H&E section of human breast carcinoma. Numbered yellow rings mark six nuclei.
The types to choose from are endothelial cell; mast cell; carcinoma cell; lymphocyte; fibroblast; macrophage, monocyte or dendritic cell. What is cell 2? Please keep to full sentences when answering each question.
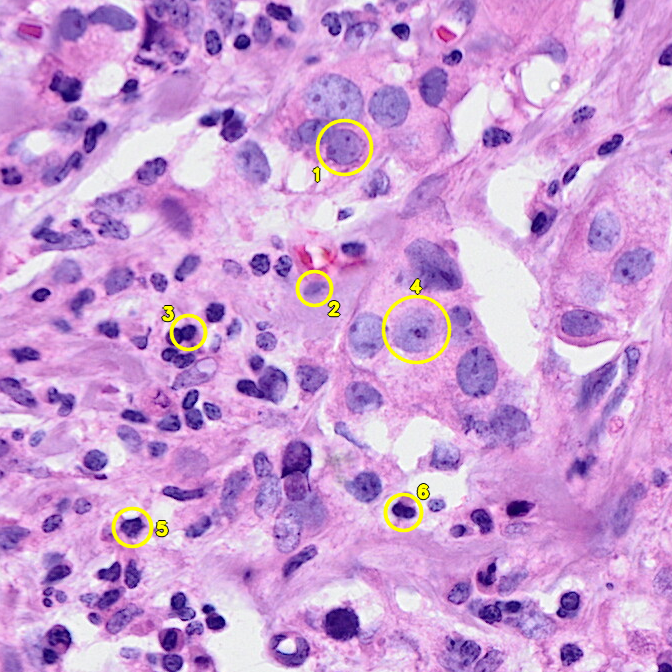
The cell bearing label 2 corresponds to an endothelial cell.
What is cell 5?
Regarding cell 5, this one is a lymphocyte.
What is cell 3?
The cell that bears the number 3 is a lymphocyte.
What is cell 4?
Number 4 is placed on a carcinoma cell here.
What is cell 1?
The cell whose nucleus carries the number 1 is a carcinoma cell.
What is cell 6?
Identified as a lymphocyte is the cell bearing the number 6.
